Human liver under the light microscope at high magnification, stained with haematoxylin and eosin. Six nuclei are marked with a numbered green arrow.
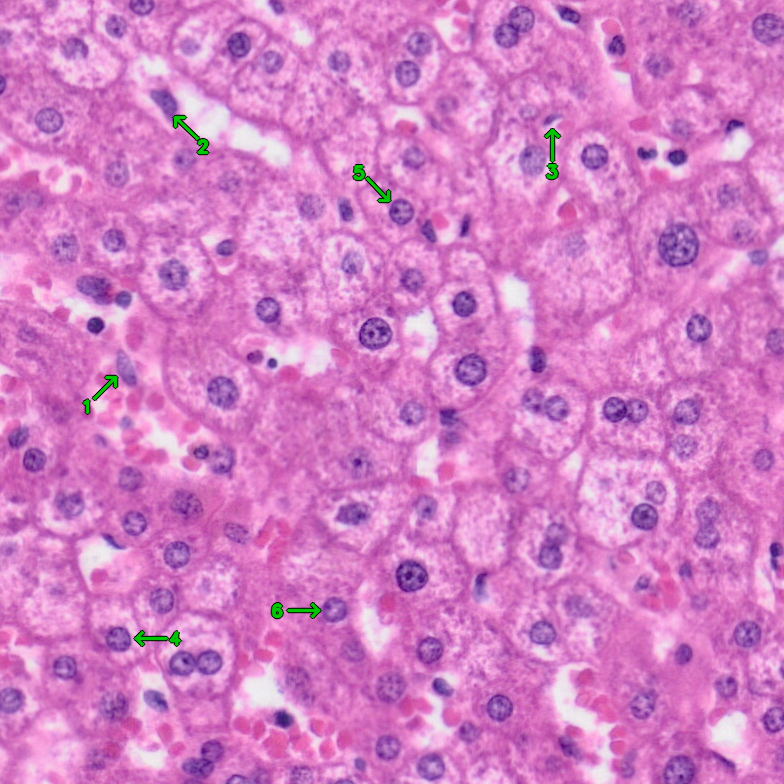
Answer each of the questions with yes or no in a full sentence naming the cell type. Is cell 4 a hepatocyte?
Yes, with respect to number 4, the cell is a hepatocyte.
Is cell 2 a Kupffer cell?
Yes, what number 2 marks is a Kupffer cell.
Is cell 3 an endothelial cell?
Yes, the cell referred to as number 3 is an endothelial cell.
